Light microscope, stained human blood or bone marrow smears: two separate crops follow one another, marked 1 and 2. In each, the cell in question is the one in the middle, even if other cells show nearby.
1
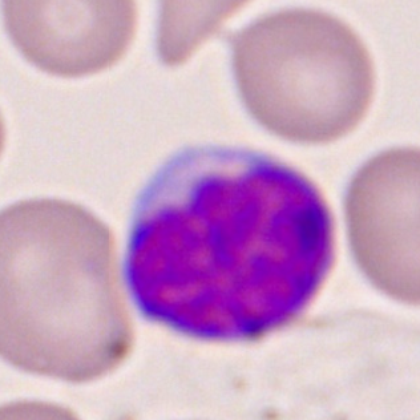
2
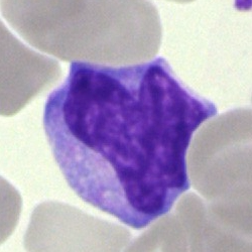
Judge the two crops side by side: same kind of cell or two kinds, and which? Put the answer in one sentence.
No, a monocyte is in crop 2, and a lymphocyte is in crop 1.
